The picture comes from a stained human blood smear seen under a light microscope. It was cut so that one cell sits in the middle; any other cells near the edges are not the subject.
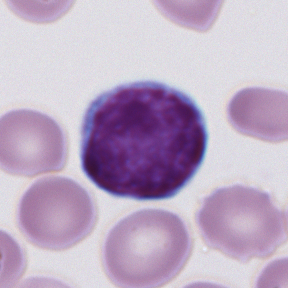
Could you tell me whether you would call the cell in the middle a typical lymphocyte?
yes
